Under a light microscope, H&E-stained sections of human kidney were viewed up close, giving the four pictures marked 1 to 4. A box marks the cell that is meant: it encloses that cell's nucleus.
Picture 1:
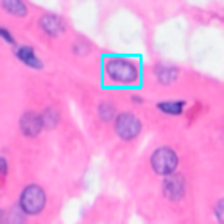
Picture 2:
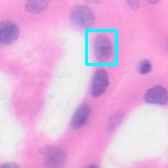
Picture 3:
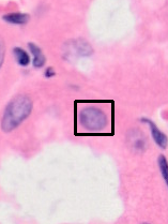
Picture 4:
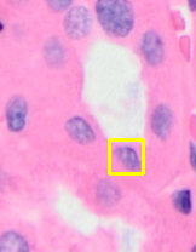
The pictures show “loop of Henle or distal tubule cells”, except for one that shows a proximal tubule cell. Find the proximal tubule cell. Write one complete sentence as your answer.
The cell in picture 3 is the proximal tubule cell.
